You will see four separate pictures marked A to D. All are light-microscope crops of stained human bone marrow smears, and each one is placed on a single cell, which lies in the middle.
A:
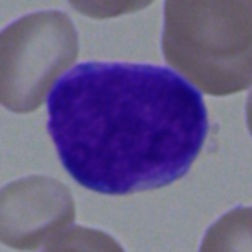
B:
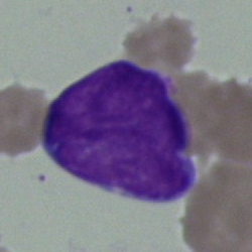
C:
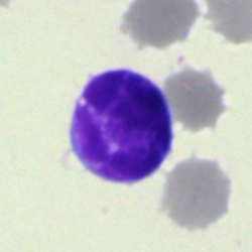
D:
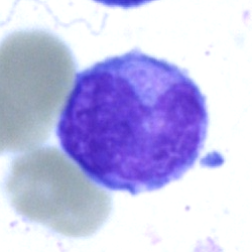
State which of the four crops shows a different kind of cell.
C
